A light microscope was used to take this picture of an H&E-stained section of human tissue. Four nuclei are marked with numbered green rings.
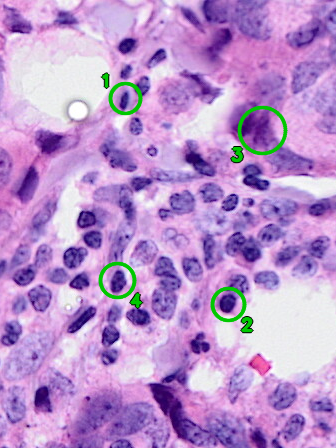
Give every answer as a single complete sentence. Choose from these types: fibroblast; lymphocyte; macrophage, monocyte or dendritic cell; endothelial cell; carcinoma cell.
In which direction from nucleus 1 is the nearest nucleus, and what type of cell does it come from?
Lying above and to the right of nucleus 1, the nearest nucleus is that of a lymphocyte.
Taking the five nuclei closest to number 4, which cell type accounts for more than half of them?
Lymphocytes make up most of the five nuclei closest to number 4.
